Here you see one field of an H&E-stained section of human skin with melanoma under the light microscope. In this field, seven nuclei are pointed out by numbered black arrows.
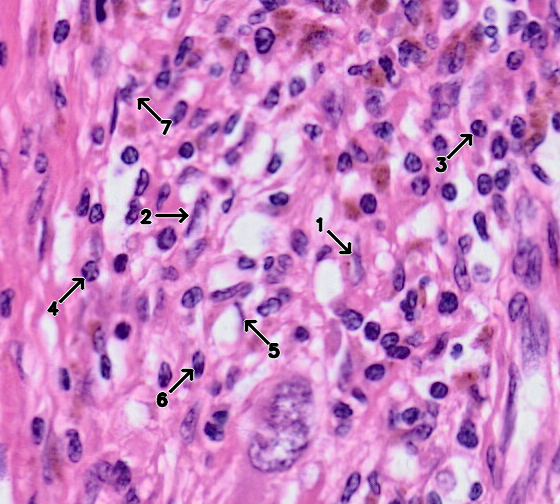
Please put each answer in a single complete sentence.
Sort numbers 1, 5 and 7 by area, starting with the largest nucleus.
Going from the biggest nucleus down to the smallest gives 1, 7, 5.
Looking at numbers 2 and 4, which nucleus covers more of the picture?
Number 2 is larger; its area is about 1.5 times that of number 4.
